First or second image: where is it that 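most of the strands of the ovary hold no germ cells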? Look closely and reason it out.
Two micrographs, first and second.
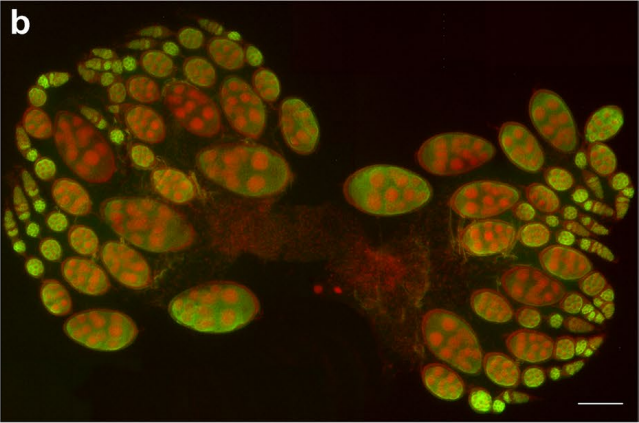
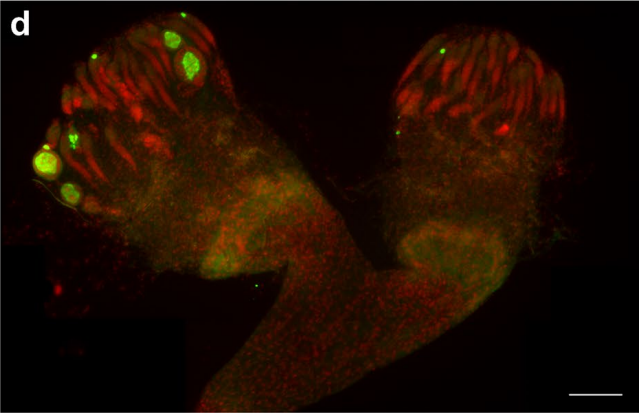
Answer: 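The second image. Second image: most elongated strands are thin and red only, with just a few green-filled chambers. First image: nearly every row is packed with rounded chambers filled with green cells.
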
